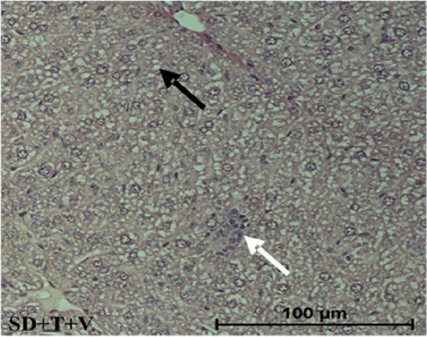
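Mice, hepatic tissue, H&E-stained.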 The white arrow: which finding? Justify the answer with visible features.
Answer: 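A small group of dark, small, closely packed nuclei sits within the hepatocyte plates. These nuclei are smaller and denser than the round hepatocyte nuclei. The answer: inflammatory foci.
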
